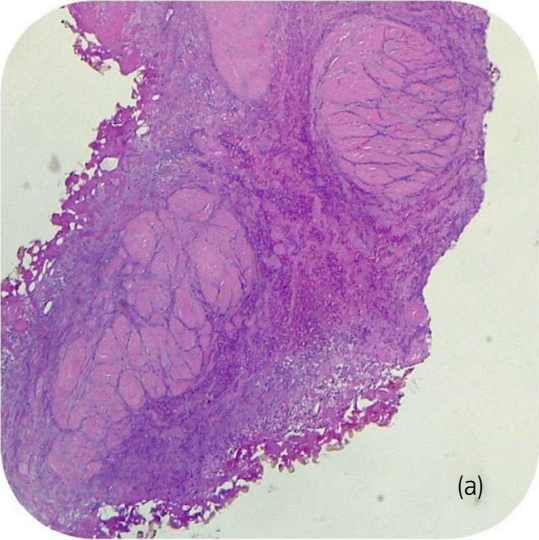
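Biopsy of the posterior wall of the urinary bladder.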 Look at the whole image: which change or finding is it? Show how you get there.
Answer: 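Dense purple cellular infiltrate fills the tissue between pale rounded bundles. The infiltrate surrounds and separates the pale pink bundles. So: Severe inflammation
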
